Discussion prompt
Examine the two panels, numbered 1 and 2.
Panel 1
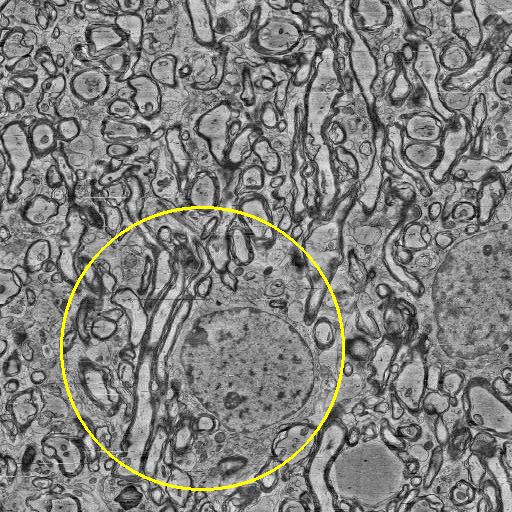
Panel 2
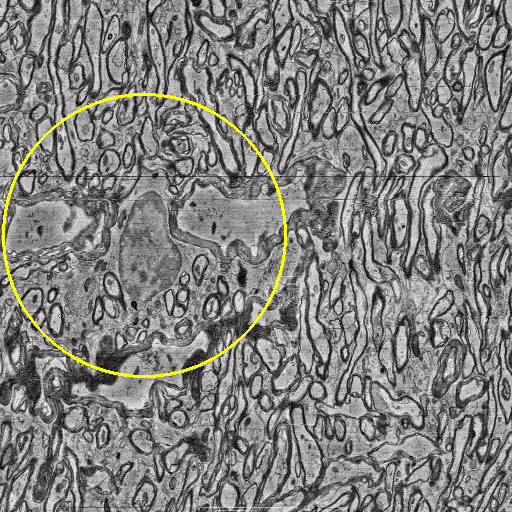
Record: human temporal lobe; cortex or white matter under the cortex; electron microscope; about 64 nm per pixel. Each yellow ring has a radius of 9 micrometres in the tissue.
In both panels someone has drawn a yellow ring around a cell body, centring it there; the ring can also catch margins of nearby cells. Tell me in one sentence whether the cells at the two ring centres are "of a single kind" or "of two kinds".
Taken together, the two cells centred in the rings of Panels 1 and 2 are of two kinds.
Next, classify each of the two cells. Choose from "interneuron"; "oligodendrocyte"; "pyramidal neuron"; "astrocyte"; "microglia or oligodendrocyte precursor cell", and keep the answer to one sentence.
In the first picture it is a microglial cell or oligodendrocyte precursor cell; in the second it is an oligodendrocyte.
